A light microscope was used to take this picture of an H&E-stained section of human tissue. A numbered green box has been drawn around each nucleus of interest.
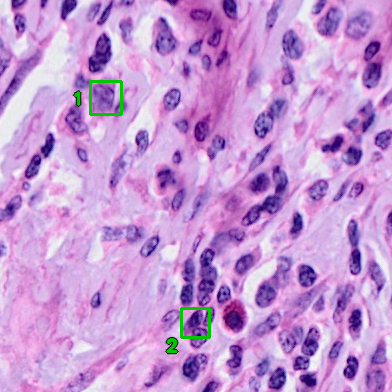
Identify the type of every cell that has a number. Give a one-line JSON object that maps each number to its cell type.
{"1": "macrophage or monocyte", "2": "lymphocyte"}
